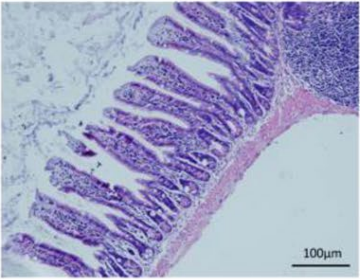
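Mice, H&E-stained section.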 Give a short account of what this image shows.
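Wall of the small intestine, with many tall, slender, finger-like villi rising from the mucosa and covered by a single layer of columnar epithelium with purple nuclei. The villi are closely and evenly spaced, crypts lie at their bases, and a thin pink band of smooth muscle runs beneath them. At one corner lies a dense cluster of small, darkly stained cells.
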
